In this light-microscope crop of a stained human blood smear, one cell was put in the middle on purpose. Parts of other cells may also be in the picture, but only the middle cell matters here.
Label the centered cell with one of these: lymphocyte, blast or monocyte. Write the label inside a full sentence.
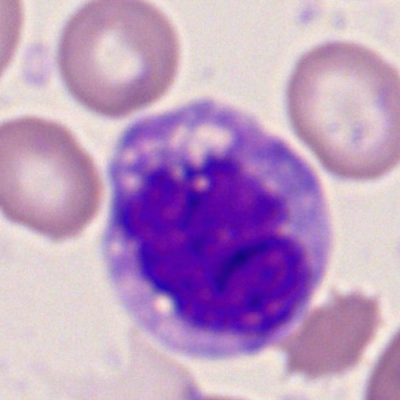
The centrally located cell in the crop is a monocyte.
